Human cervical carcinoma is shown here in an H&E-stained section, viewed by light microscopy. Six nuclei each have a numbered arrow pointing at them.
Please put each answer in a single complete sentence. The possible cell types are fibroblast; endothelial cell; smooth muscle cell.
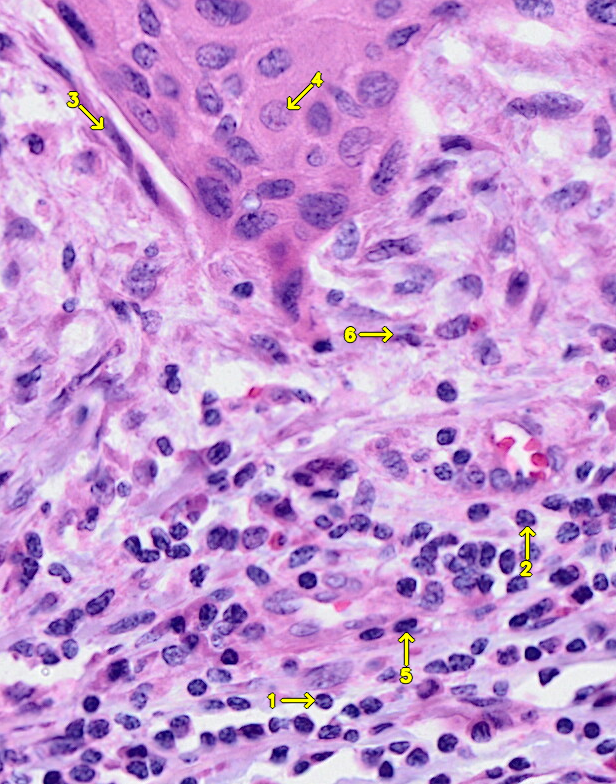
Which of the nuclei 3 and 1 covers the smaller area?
It is nucleus 1; nucleus 3 has about 2.5 times its area.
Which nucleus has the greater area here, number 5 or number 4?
Nucleus 4 covers more area, about 1.5 times as much as nucleus 5.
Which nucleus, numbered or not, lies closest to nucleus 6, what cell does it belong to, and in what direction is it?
Just above and to the left of nucleus 6 lies the nearest nucleus, which belongs to a fibroblast.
